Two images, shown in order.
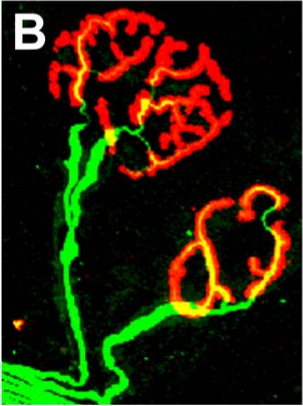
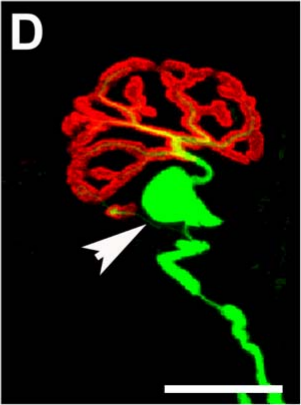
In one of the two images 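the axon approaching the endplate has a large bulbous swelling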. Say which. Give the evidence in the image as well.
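Second image: the green axon forms a large rounded swelling just before the red endplate. First image: the green axons keep a fairly even calibre up to the red endplates. So: the second image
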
